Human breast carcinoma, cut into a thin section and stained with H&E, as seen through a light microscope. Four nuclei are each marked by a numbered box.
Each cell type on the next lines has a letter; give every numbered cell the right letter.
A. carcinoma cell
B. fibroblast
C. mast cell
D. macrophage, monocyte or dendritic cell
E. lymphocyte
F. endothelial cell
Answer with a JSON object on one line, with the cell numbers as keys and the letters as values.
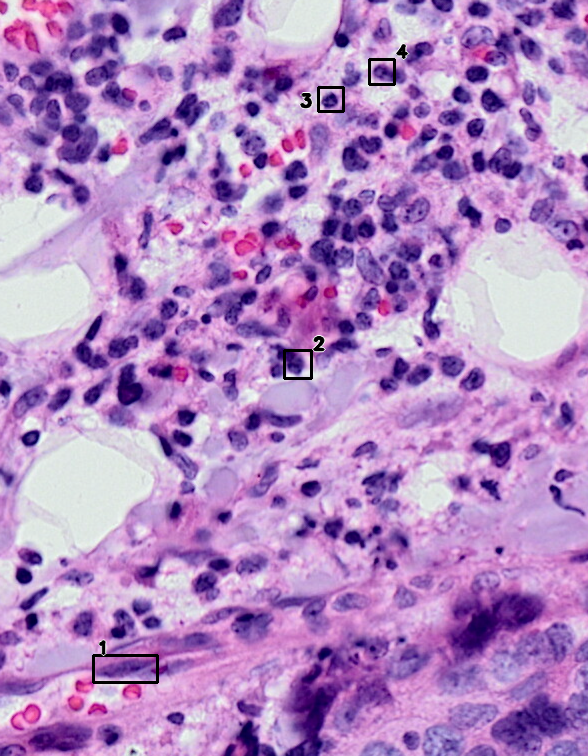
{"1": "F", "2": "E", "3": "E", "4": "E"}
